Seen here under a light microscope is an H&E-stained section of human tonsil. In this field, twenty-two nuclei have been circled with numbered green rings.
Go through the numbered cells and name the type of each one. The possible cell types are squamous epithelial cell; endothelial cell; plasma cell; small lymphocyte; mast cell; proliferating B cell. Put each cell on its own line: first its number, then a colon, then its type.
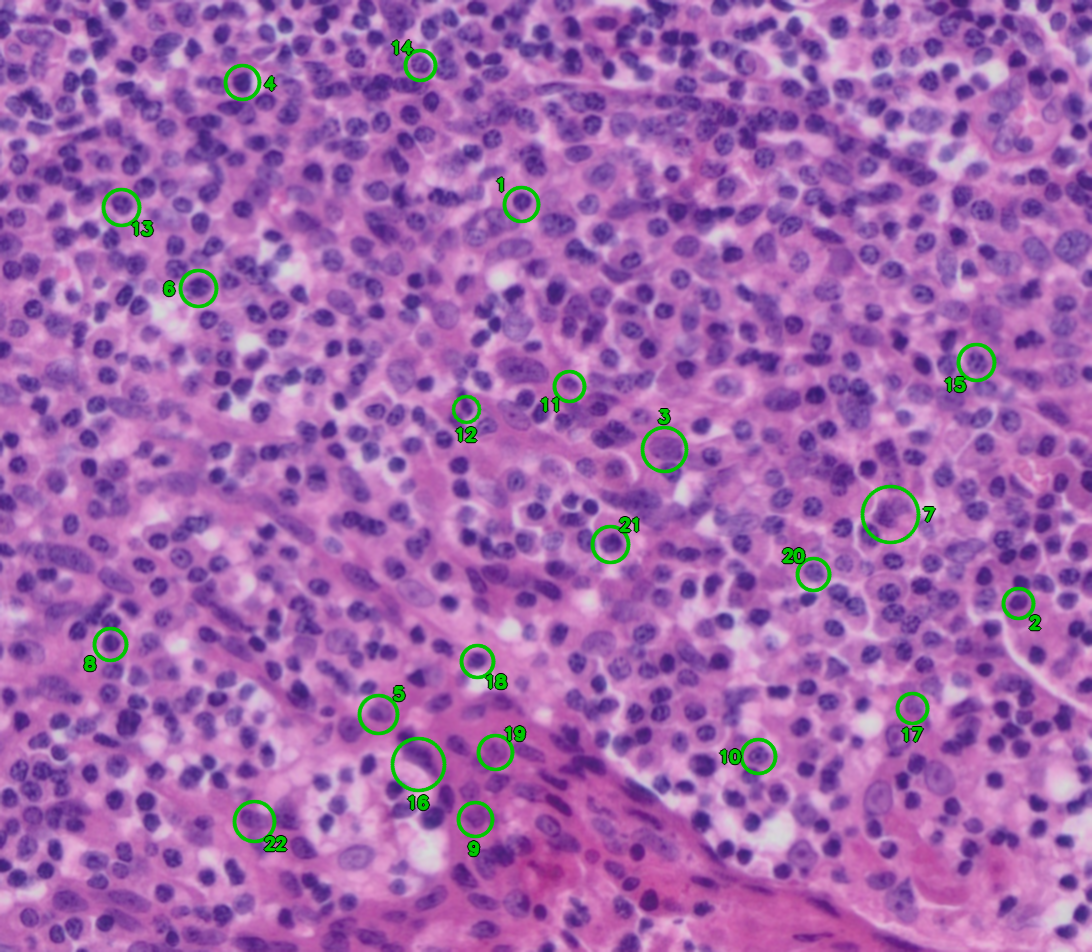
1: plasma cell
2: plasma cell
3: squamous epithelial cell
4: plasma cell
5: squamous epithelial cell
6: plasma cell
7: squamous epithelial cell
8: plasma cell
9: squamous epithelial cell
10: plasma cell
11: squamous epithelial cell
12: squamous epithelial cell
13: plasma cell
14: plasma cell
15: plasma cell
16: squamous epithelial cell
17: squamous epithelial cell
18: squamous epithelial cell
19: squamous epithelial cell
20: plasma cell
21: plasma cell
22: squamous epithelial cell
